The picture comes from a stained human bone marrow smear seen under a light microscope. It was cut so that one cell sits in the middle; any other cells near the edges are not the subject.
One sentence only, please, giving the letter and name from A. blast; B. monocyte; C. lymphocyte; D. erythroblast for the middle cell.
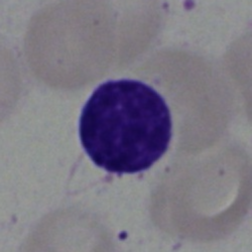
Option C is the right choice, the central cell being a lymphocyte.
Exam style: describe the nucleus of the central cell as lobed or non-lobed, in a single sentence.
See how the nucleus sits as one compact round, oval or kidney-shaped mass.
